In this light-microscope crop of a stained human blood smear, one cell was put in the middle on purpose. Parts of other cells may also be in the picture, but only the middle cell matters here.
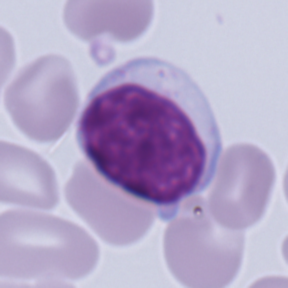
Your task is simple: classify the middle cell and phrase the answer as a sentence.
The cell shown in the center of this light-microscope crop is a large granular lymphocyte.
